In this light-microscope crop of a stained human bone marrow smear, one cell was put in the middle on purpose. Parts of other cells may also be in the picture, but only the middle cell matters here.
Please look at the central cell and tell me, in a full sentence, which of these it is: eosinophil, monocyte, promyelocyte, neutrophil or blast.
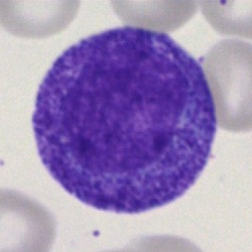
Of the cells in this crop, the central one is a promyelocyte.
